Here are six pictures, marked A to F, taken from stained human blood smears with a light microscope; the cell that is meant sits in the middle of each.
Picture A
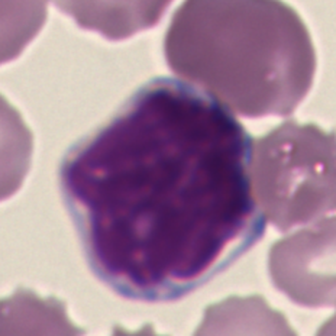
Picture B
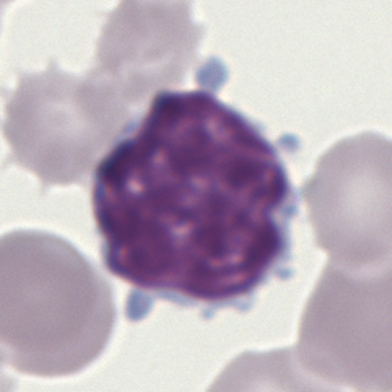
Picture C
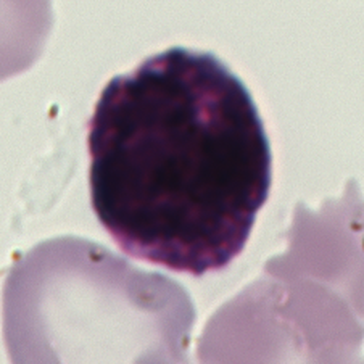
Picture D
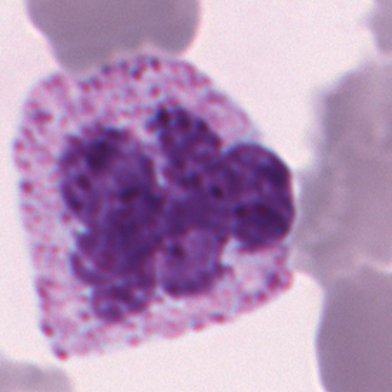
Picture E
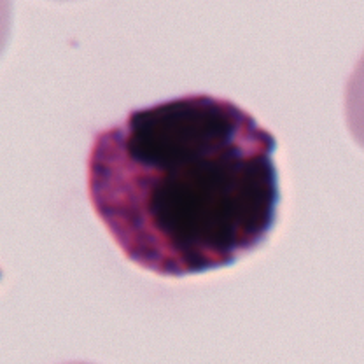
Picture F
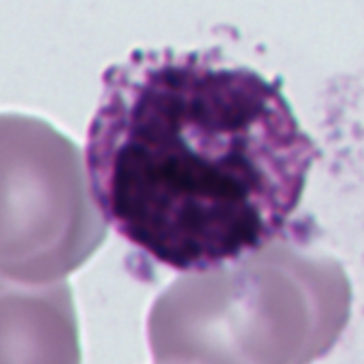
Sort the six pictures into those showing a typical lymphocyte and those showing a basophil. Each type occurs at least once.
A: typical lymphocyte
B: typical lymphocyte
C: basophil
D: basophil
E: basophil
F: basophil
